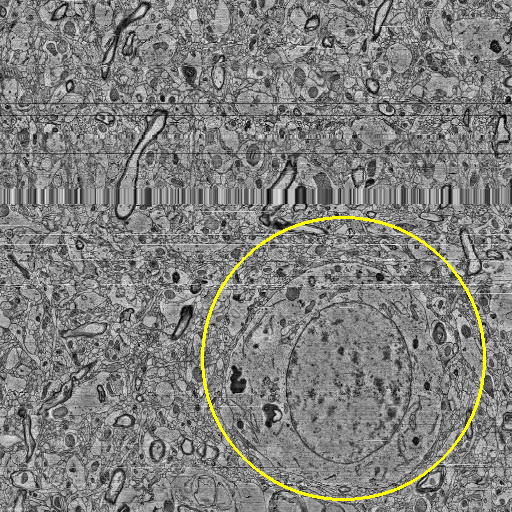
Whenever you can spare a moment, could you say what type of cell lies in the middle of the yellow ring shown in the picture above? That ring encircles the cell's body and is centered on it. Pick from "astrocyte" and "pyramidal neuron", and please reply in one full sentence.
The cell whose body sits at the middle of the yellow ring is a pyramidal neuron.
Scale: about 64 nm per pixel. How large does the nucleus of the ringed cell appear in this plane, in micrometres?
In this plane, the nucleus of the cell at the centre of the ring measures about 11 by 8 micrometres.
